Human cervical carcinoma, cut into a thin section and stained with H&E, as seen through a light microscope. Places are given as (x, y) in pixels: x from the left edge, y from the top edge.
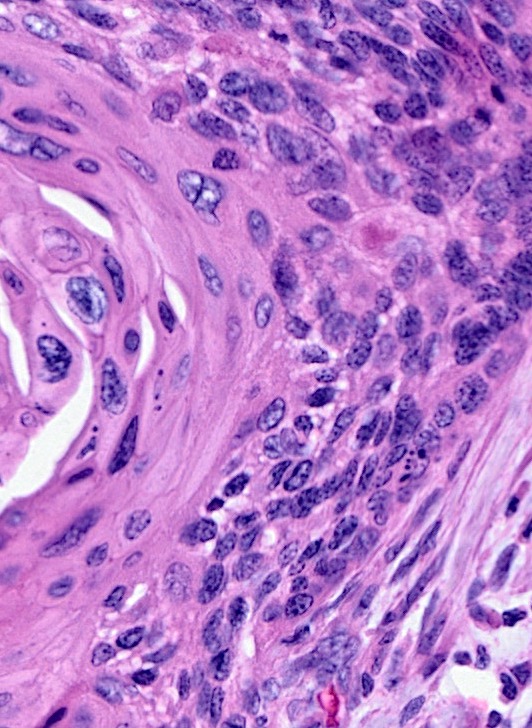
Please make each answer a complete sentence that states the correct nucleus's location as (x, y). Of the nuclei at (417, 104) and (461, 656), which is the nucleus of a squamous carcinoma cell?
Of the two nuclei, the nucleus of a squamous carcinoma cell is at (417, 104).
